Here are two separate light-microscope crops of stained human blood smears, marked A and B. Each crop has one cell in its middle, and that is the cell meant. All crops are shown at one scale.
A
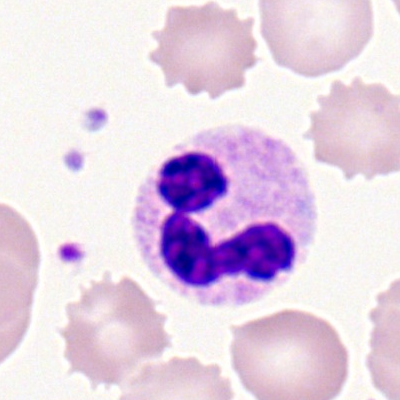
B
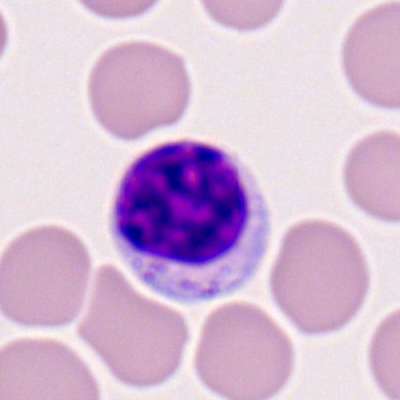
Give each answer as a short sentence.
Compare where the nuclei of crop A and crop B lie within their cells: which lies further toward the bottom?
Seen within its cell, the nucleus in crop A lies further toward the bottom.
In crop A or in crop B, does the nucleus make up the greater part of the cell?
In crop B the nucleus takes up the larger part of its cell.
